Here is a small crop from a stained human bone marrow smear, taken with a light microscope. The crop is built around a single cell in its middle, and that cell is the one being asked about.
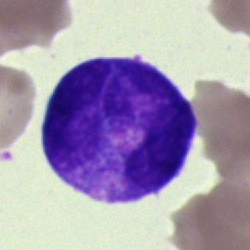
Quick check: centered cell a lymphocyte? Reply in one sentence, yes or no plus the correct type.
No, the central cell qualifies as a blast rather than as a lymphocyte.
